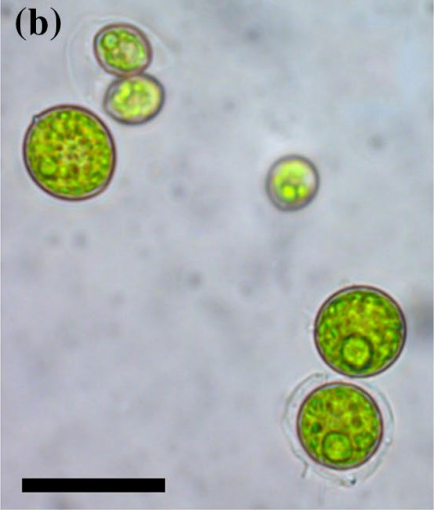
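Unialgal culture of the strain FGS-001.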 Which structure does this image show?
sporangium walls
